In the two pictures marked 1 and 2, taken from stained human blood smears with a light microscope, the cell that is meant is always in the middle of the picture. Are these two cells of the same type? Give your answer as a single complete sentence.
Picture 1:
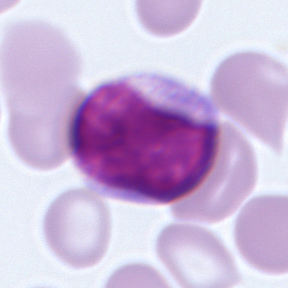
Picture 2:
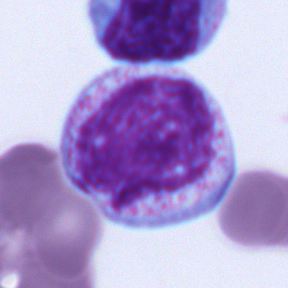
No, the types are not the same, since picture 1 shows a large granular lymphocyte and picture 2 a myelocyte.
